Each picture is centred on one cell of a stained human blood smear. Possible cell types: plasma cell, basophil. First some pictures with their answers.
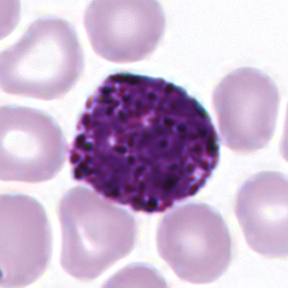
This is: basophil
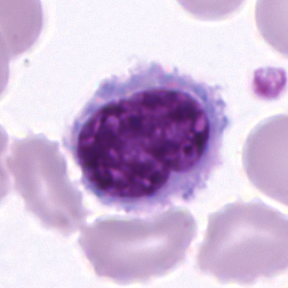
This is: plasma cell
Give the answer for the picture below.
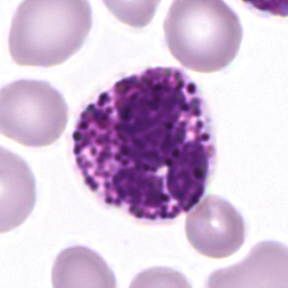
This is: basophil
